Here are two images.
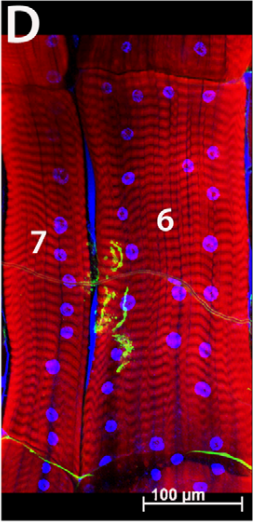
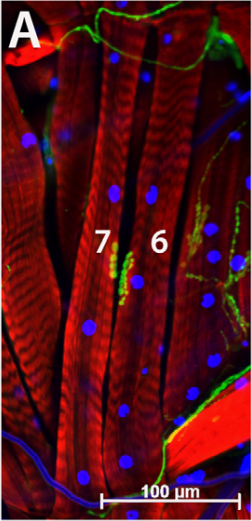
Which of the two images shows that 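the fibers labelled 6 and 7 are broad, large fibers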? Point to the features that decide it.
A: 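Second image: fibers 6 and 7 are narrow strips, each with few nuclei.
Hence: the first image.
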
